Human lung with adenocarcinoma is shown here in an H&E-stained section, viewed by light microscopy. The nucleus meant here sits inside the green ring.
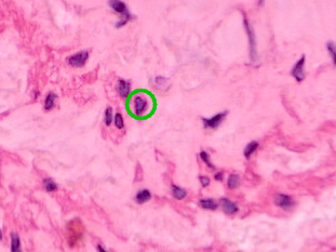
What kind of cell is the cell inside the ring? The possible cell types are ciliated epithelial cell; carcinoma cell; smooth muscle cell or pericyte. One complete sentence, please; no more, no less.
To be brief about it, the cell inside the ring is a smooth muscle cell or pericyte.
